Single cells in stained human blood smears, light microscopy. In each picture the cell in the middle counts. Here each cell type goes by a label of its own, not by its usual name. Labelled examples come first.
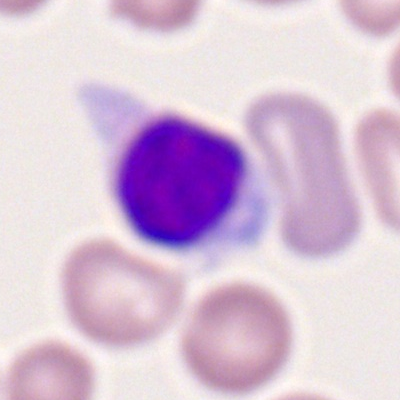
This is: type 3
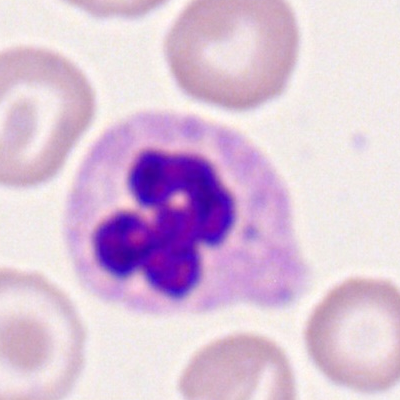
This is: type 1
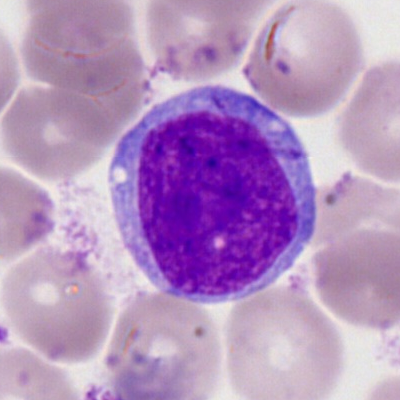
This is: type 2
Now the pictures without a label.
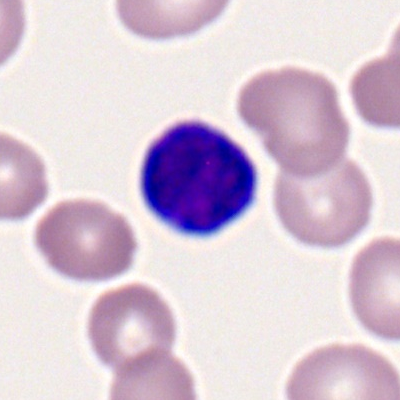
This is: type 3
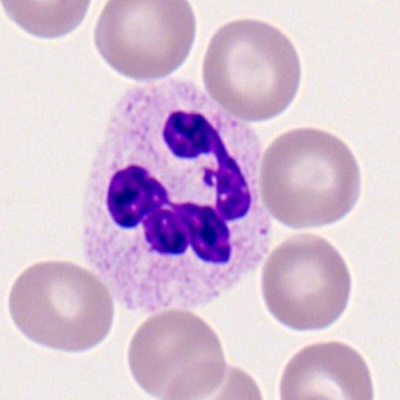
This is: type 1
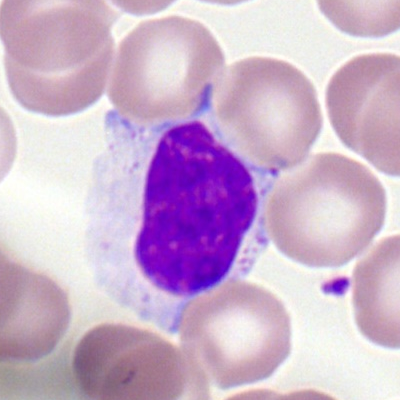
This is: type 3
